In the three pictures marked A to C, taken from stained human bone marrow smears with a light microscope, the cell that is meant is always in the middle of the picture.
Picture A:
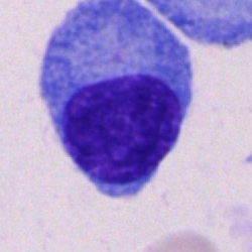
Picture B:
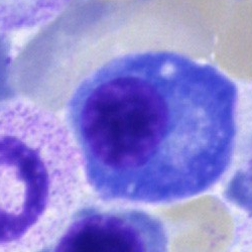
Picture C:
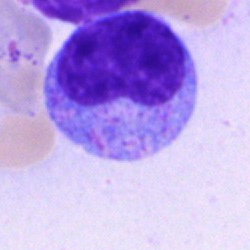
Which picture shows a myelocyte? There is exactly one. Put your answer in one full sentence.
It is picture C that shows the myelocyte.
